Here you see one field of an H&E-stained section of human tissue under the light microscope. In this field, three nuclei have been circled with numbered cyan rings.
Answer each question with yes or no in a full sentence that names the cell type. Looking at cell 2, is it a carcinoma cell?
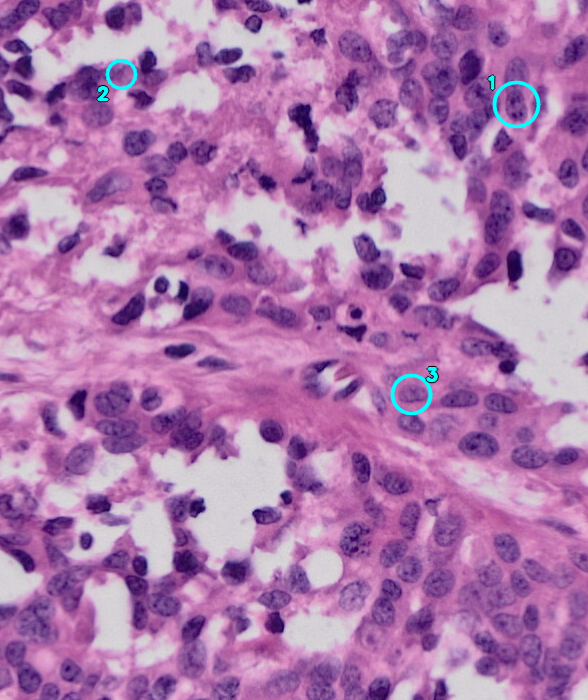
Yes, the marked cell with number 2 is a carcinoma cell.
